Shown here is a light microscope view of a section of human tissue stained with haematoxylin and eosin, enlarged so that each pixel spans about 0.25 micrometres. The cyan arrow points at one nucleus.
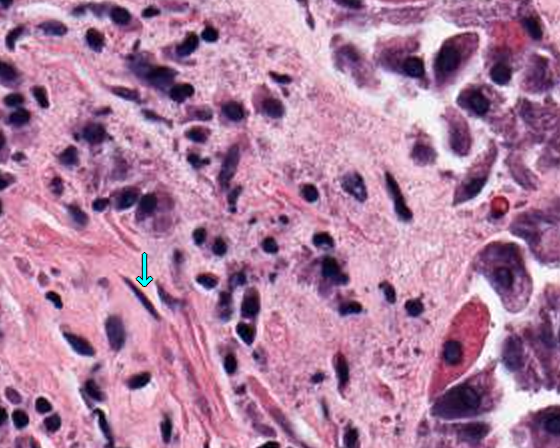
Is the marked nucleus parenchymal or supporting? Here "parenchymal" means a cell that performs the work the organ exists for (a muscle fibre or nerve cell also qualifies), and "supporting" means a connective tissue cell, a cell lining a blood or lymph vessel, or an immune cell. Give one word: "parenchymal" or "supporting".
supporting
